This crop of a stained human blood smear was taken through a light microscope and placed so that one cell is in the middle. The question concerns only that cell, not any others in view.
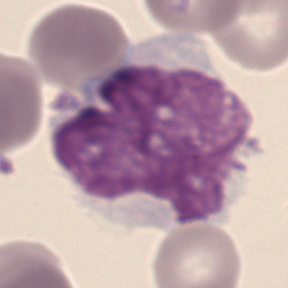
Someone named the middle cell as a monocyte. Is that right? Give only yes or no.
yes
